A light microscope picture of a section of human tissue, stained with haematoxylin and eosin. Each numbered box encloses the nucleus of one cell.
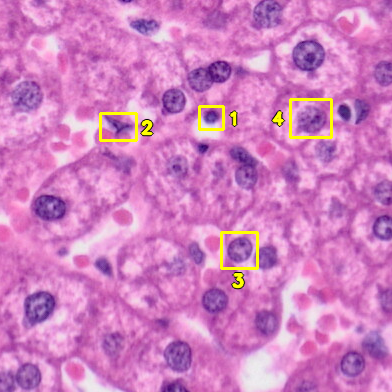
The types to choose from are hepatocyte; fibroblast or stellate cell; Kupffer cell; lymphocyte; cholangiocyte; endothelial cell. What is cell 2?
endothelial cell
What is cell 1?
lymphocyte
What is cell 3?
hepatocyte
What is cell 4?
hepatocyte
